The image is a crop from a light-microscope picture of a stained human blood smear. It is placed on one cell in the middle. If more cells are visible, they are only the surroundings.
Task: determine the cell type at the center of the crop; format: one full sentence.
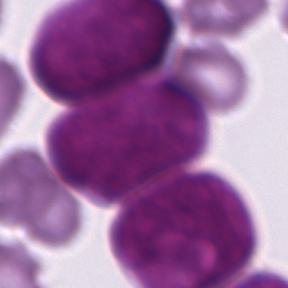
The cell at the heart of this crop is a blast.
